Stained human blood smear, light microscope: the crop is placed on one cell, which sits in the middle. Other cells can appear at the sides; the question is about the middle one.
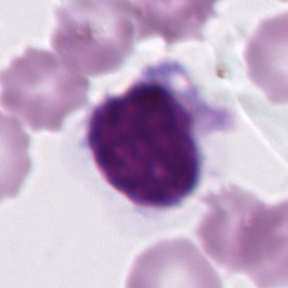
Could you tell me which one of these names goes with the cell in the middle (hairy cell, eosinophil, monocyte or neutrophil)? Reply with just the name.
hairy cell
